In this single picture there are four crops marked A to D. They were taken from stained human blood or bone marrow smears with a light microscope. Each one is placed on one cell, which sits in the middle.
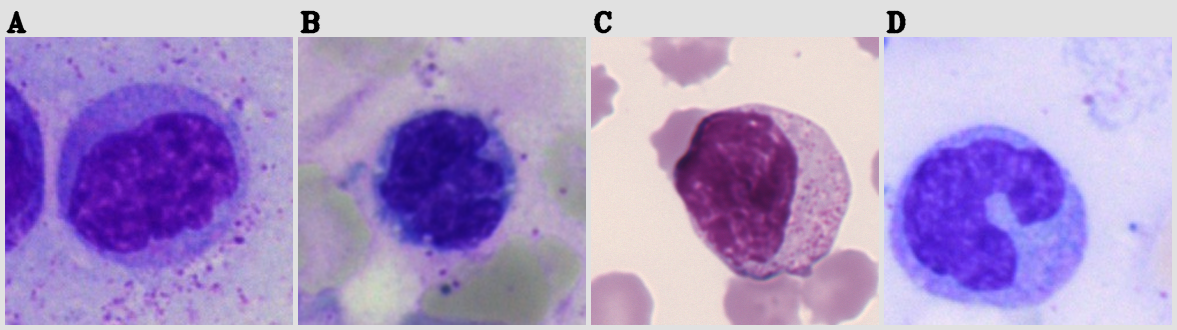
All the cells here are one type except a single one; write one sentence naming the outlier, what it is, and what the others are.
The cells centred in the other crops are all monocytes, but crop C is a myelocyte.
